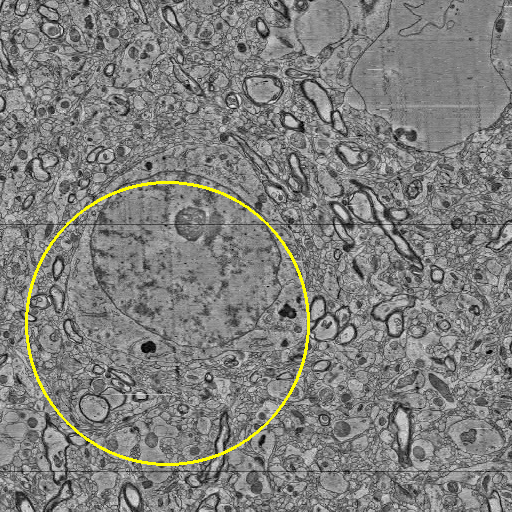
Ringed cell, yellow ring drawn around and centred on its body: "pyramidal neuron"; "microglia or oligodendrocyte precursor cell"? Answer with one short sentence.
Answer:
This ringed cell is a pyramidal neuron.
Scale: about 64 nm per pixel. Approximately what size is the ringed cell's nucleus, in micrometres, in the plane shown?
The nucleus is approximately 13 micrometers long by 11 micrometers wide in this plane.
